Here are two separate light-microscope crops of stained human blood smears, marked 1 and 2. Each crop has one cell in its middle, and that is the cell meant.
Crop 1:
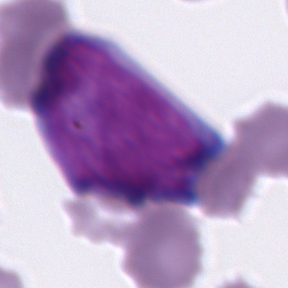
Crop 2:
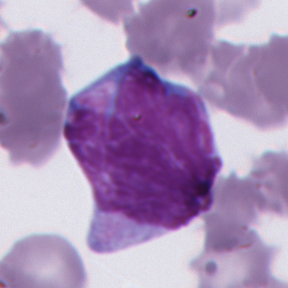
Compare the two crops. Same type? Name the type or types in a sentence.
Yes, both the first crop and the second crop show myeloblasts.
